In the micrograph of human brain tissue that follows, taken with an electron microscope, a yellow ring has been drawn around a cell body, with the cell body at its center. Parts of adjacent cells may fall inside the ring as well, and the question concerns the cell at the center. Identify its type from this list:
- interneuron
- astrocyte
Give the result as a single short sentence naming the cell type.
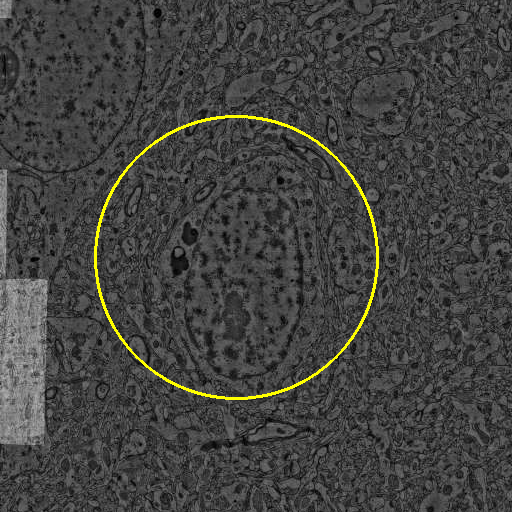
The ring is centered on an interneuron.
